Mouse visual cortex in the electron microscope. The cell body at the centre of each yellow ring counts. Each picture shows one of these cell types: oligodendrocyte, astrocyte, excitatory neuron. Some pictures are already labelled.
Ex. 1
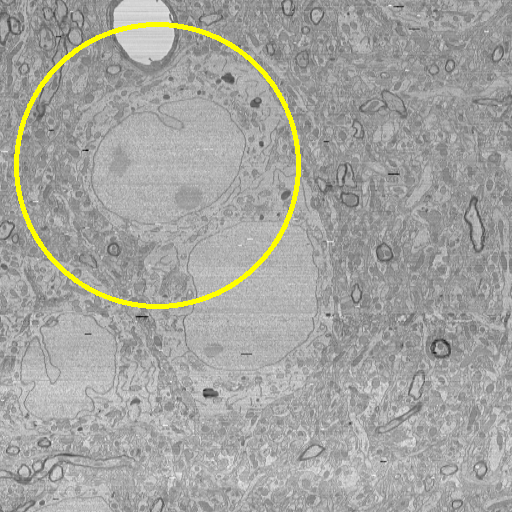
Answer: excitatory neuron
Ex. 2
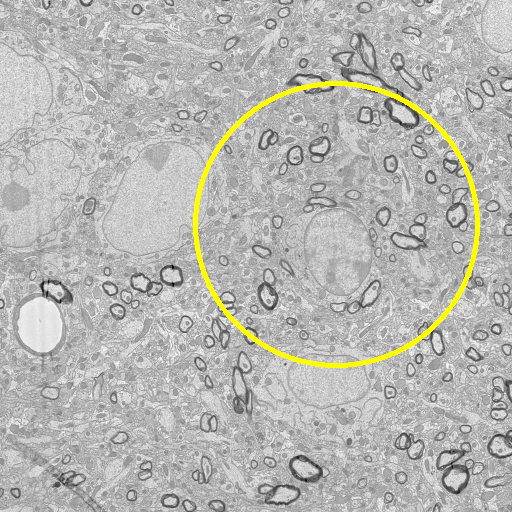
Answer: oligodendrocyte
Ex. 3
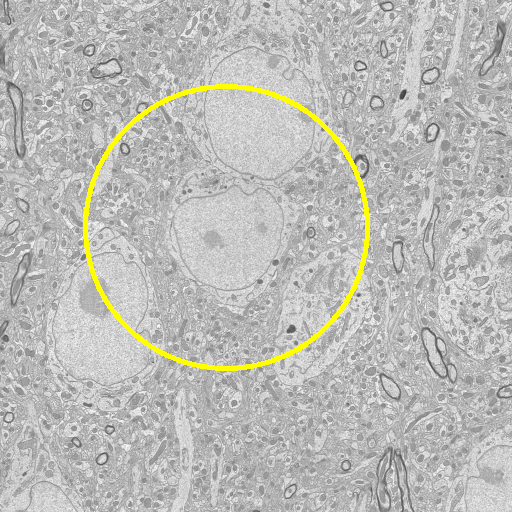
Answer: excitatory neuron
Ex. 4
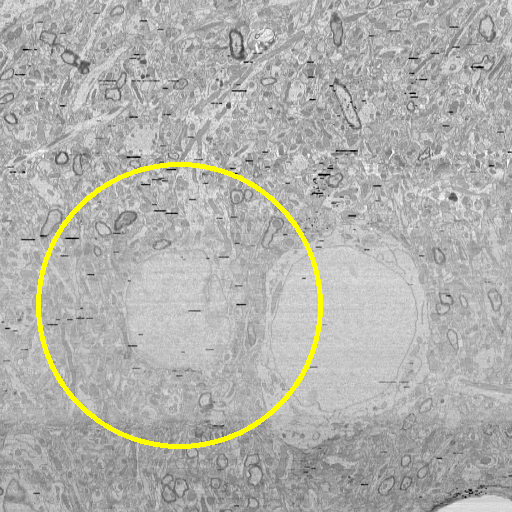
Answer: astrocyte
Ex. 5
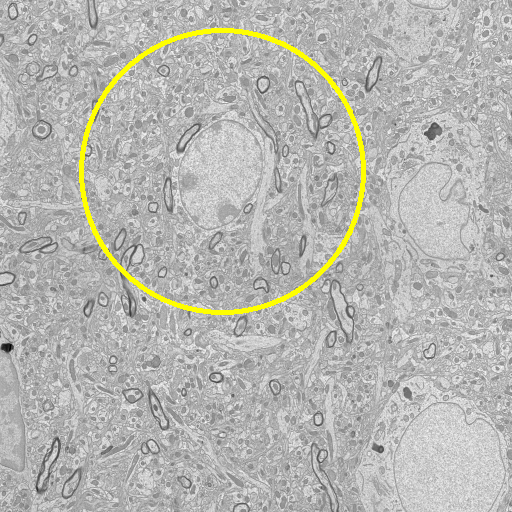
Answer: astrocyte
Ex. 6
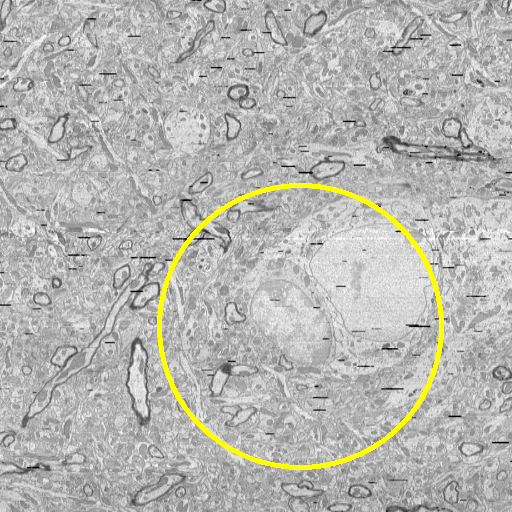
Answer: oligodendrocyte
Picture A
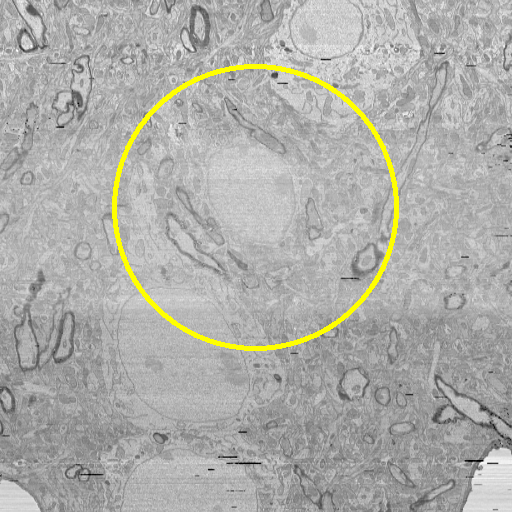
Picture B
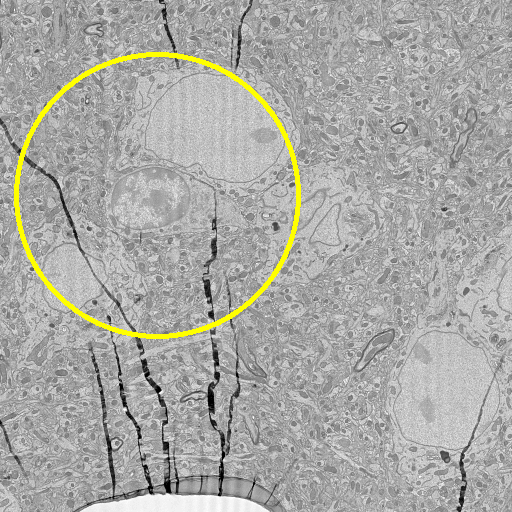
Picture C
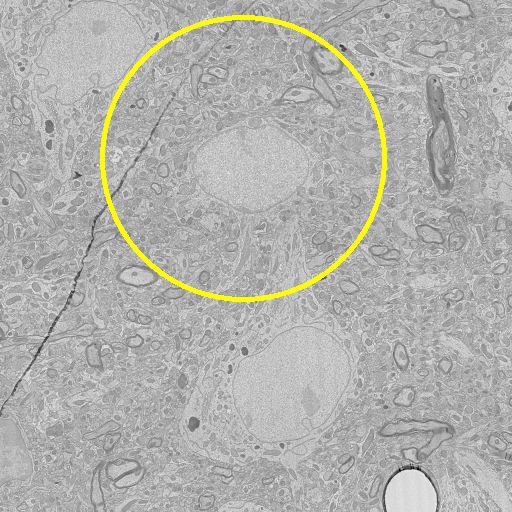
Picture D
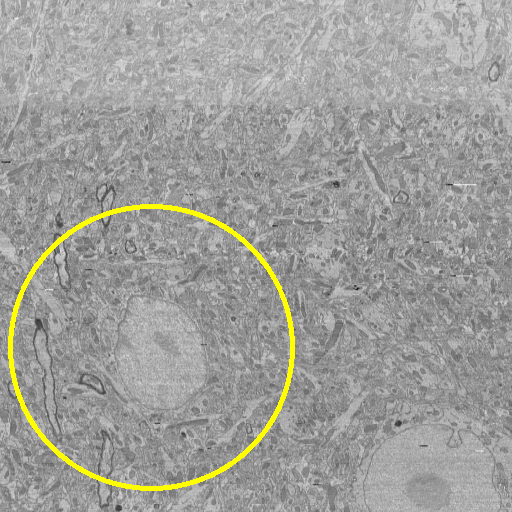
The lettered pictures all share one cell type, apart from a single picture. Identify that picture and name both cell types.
Different: B, oligodendrocyte. Others: astrocyte.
